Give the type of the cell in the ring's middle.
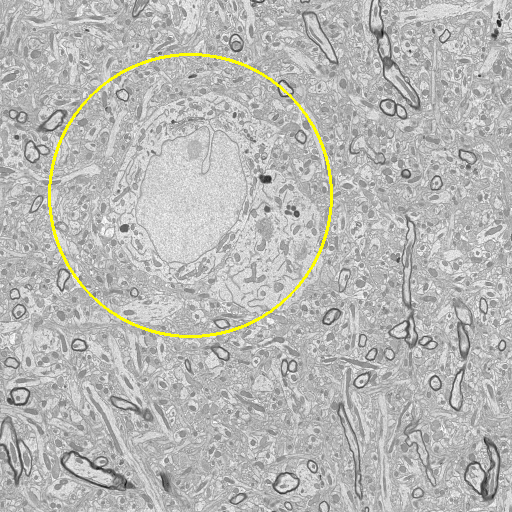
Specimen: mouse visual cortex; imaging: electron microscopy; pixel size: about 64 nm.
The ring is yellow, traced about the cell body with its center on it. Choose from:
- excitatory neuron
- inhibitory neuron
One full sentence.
Here, an inhibitory neuron is the cell lying at the center of the yellow ring.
